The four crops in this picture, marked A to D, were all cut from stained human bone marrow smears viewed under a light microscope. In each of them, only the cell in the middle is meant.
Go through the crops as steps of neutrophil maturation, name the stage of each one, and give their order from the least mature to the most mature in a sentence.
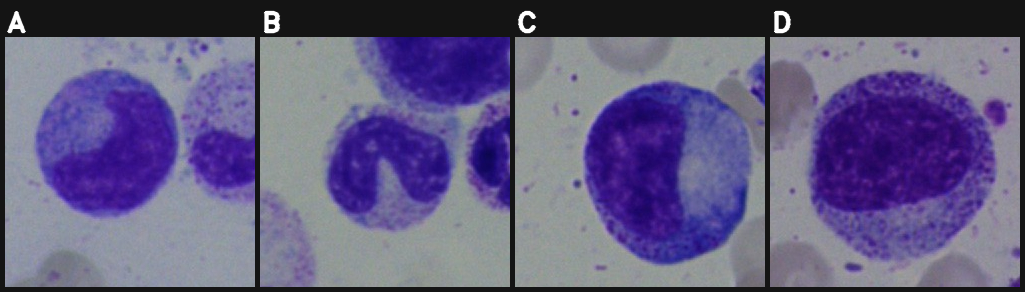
The cells in order of increasing maturity are crop C (a promyelocyte), crop D (a myelocyte), crop A (a metamyelocyte) and crop B (a band neutrophil).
